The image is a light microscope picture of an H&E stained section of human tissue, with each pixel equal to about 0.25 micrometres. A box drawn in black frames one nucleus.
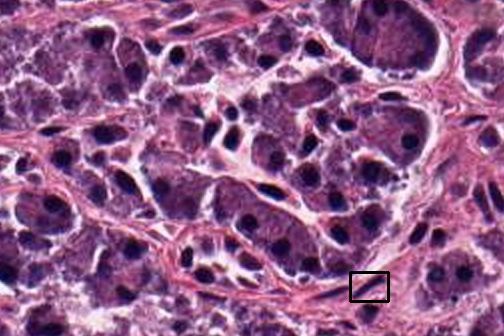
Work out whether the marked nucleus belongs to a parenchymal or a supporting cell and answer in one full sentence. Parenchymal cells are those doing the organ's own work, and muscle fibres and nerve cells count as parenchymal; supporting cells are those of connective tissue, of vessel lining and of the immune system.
The cell that the marked nucleus belongs to is a supporting cell.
